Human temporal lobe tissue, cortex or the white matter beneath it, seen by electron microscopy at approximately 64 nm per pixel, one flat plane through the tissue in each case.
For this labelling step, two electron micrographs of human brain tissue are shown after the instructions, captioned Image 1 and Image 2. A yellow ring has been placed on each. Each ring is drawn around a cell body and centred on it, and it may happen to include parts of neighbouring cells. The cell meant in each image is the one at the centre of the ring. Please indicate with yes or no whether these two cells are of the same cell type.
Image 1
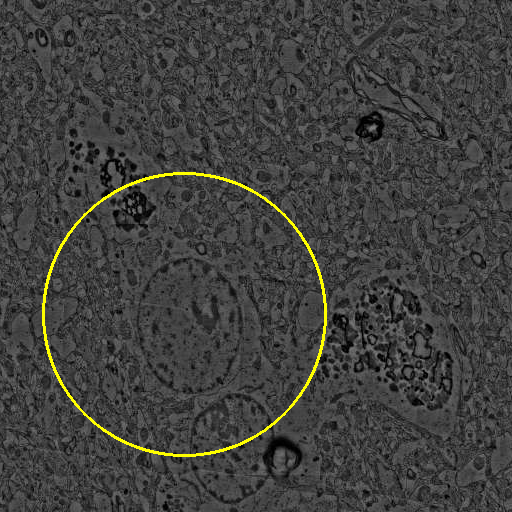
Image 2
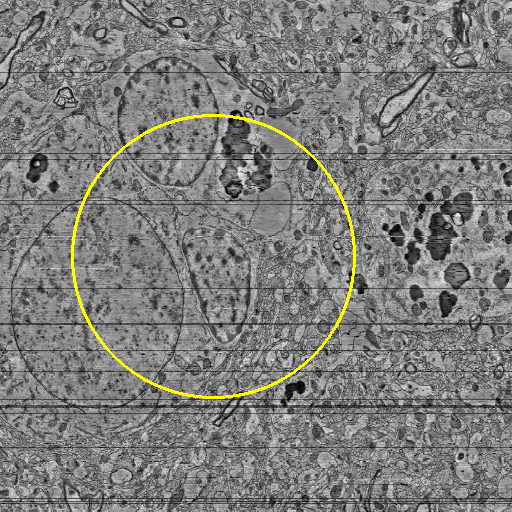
no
